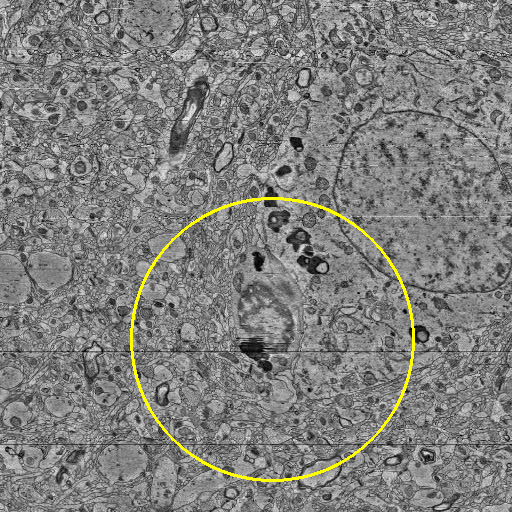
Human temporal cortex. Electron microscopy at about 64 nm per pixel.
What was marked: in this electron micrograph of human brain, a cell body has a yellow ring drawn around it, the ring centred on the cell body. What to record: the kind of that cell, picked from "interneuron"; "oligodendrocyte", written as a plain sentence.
The centred cell is an oligodendrocyte.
